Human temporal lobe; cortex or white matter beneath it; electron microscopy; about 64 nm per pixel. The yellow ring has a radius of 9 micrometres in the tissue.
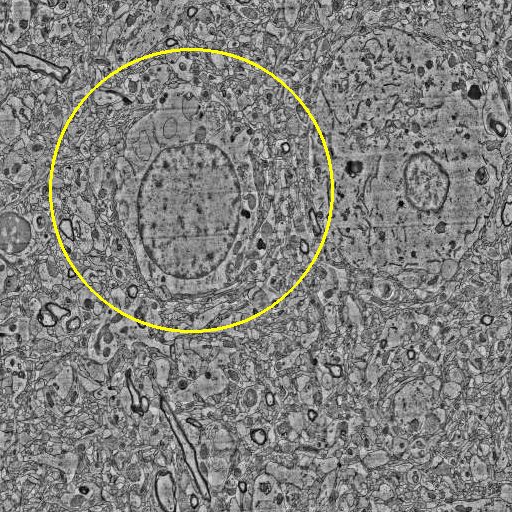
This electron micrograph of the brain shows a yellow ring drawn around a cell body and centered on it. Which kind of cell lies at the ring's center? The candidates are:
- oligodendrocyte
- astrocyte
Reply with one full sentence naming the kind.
The cell lying at the ring's center in this micrograph is an astrocyte.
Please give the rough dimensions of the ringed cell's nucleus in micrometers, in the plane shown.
About 9 micrometres by about 7 micrometres in this plane.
